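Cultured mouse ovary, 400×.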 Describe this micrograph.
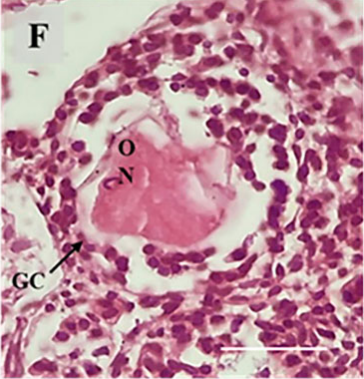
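This is an atretic secondary follicle, with a degenerating oocyte surrounded by granulosa cells. The oocyte is shrunken, pale pink and irregular, with an angular outline. A wide clear space separates it from the surrounding layers of granulosa cells, whose dark nuclei form a ring. Densely packed stromal cells lie around the follicle.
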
